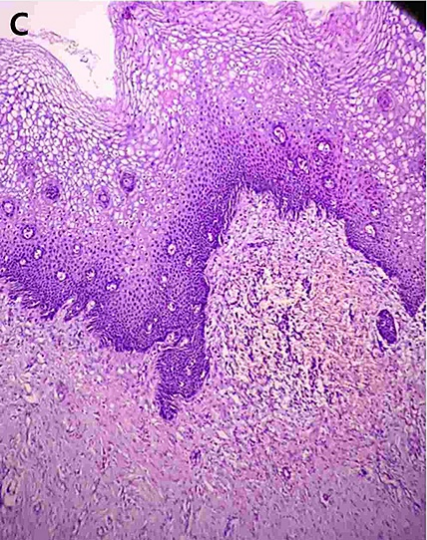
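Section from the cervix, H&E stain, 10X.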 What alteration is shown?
Low-grade squamous epithelium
